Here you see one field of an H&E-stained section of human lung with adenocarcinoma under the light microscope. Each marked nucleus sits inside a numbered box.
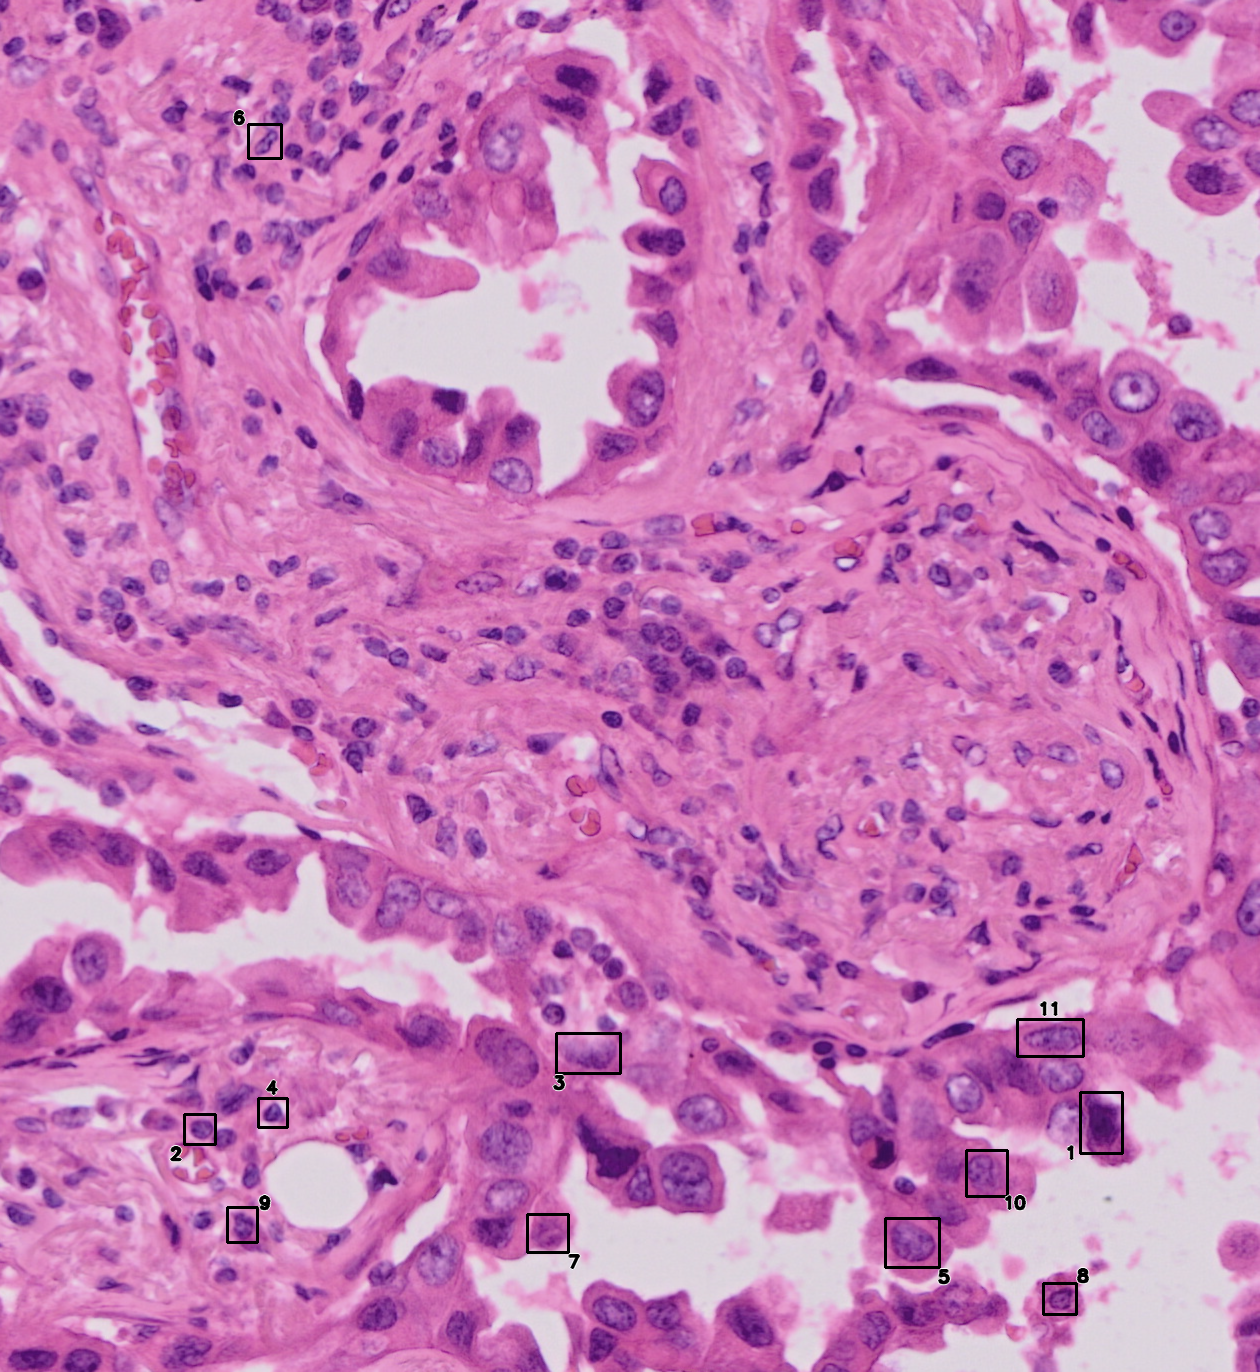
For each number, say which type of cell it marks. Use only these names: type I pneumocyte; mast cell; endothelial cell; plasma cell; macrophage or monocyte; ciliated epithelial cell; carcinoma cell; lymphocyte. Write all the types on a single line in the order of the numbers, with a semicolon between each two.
carcinoma cell; lymphocyte; carcinoma cell; lymphocyte; carcinoma cell; lymphocyte; carcinoma cell; macrophage or monocyte; plasma cell; carcinoma cell; carcinoma cell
